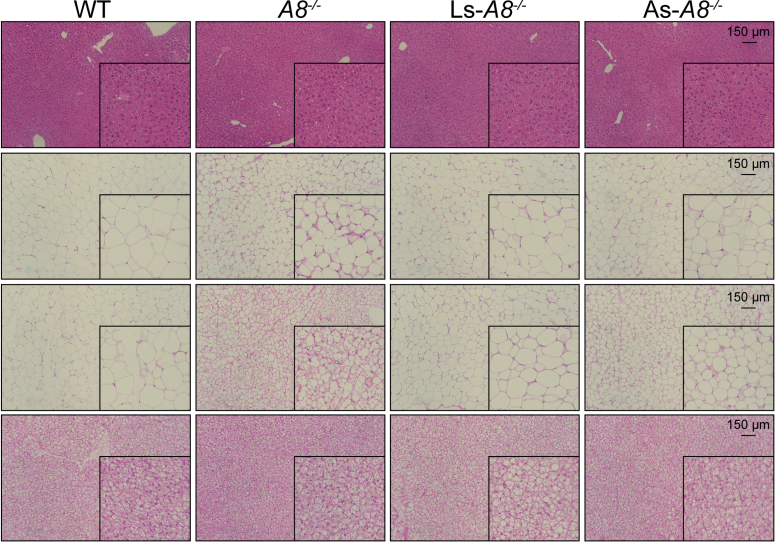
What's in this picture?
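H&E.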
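The liver is a solid pink field of hepatocytes with dark nuclei, interrupted by pale vessel lumens. In the white fat rows the adipocytes are large, empty-looking polygonal cells with only thin pink rims between them, and in one column these cells are clearly smaller and more crowded than in the others. The brown fat is denser and pinker, made of smaller cells whose cytoplasm is filled with many small vacuoles.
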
